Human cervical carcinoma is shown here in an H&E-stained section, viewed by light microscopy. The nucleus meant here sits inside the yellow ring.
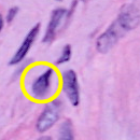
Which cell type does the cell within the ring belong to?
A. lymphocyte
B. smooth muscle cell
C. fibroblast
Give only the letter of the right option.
C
